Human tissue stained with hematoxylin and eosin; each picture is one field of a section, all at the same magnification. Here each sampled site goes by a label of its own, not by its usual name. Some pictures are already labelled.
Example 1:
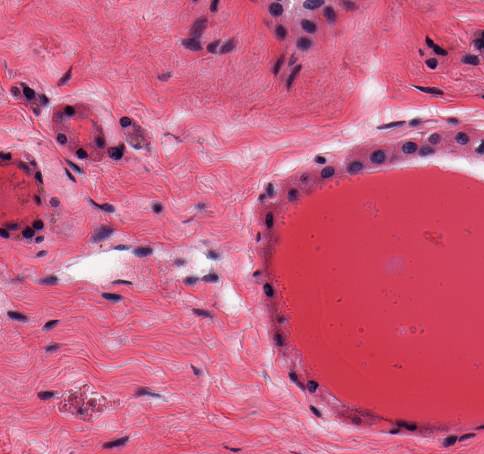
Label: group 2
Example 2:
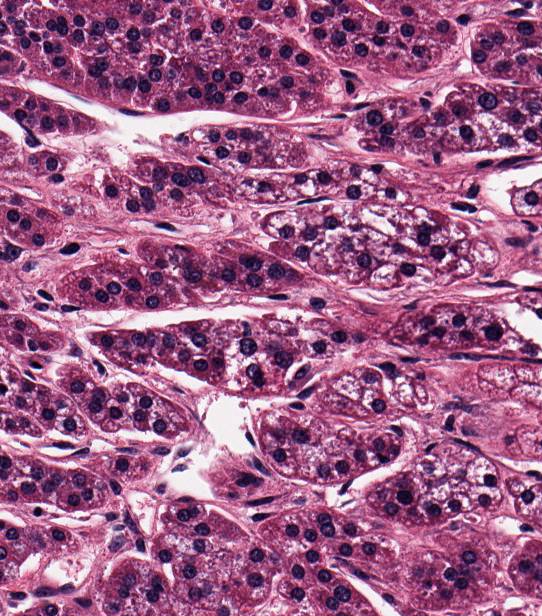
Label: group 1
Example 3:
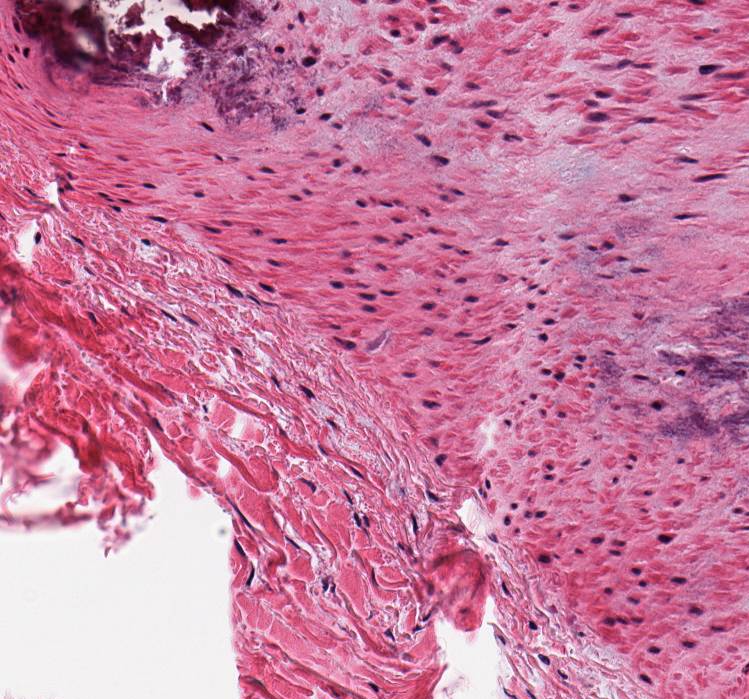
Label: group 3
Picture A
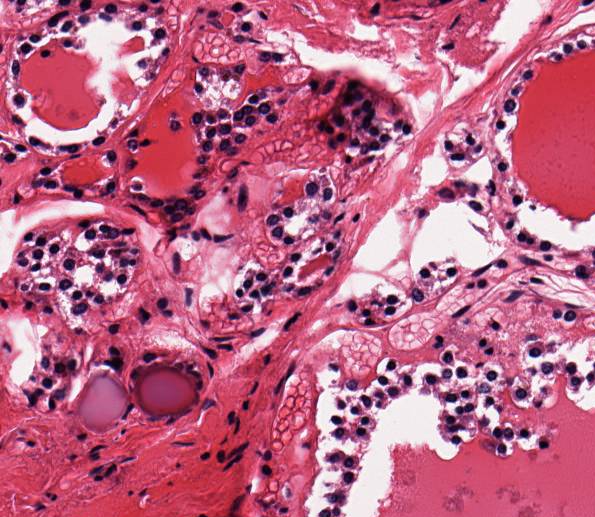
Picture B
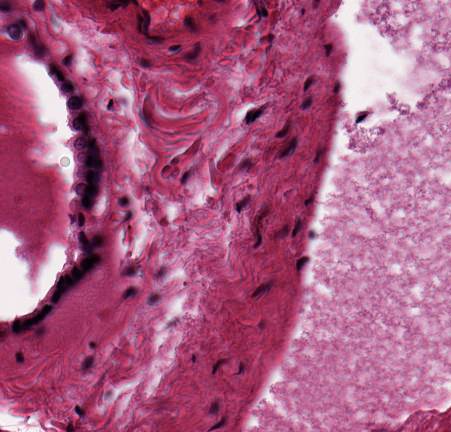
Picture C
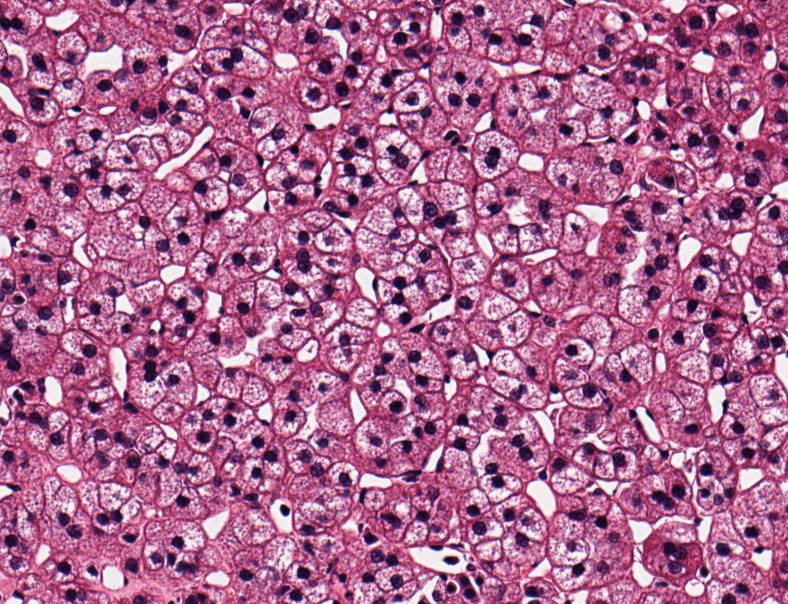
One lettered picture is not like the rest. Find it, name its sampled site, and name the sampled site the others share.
Picture C: group 1. All others: group 2.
